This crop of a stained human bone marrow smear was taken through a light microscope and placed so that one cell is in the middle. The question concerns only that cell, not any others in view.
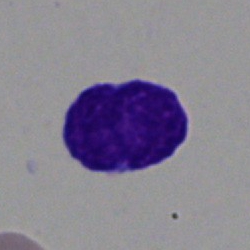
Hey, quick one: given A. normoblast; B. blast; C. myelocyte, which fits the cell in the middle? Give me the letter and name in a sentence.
With the cell in the middle being a blast, option B is the correct choice.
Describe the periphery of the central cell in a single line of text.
Its outline is smooth, with no projections anywhere along the edge.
